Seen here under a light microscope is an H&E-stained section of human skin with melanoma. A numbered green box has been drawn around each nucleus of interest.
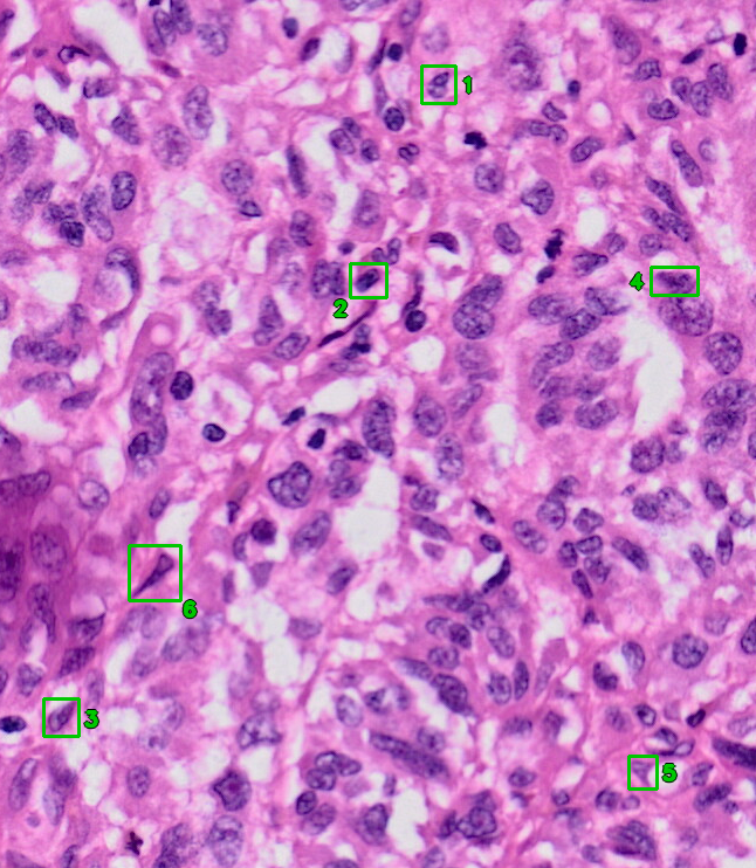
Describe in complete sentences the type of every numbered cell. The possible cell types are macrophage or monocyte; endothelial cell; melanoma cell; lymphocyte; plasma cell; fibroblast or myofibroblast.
Cell 1 is a lymphocyte, cell 2 is a lymphocyte, cell 3 is a macrophage or monocyte, cell 4 is a melanoma cell, cell 5 is an endothelial cell and cell 6 is a macrophage or monocyte.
